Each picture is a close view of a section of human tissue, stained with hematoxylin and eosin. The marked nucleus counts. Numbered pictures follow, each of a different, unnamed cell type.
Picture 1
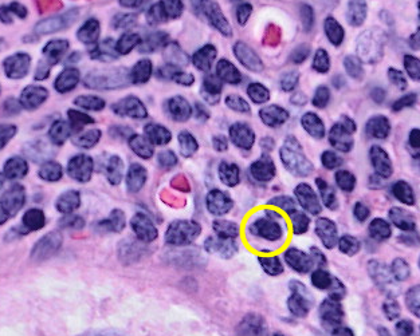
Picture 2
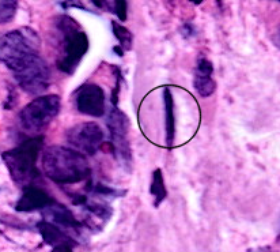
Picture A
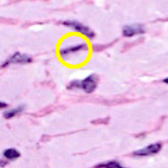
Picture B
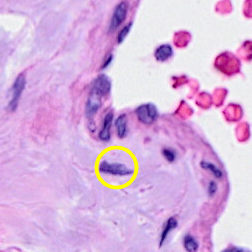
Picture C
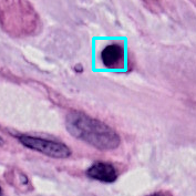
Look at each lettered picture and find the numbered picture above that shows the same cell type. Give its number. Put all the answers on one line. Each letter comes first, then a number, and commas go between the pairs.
A 2, B 2, C 1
